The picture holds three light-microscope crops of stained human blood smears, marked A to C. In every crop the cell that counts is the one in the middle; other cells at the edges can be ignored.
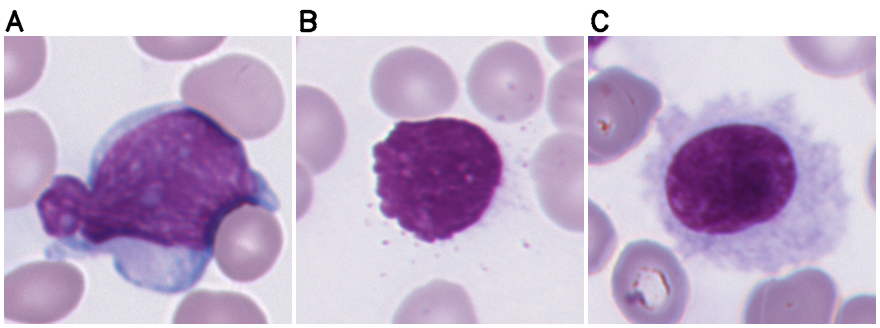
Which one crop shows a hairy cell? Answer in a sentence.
The cell identified as a hairy cell is the one in crop C.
